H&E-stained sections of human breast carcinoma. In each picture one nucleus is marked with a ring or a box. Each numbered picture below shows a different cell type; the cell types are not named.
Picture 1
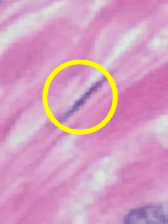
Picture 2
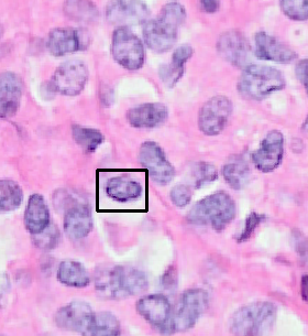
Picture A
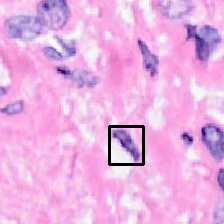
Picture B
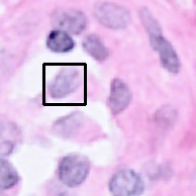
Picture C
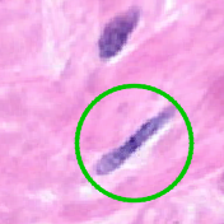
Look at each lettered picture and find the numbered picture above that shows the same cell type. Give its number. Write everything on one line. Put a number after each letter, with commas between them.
A 1, B 2, C 1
